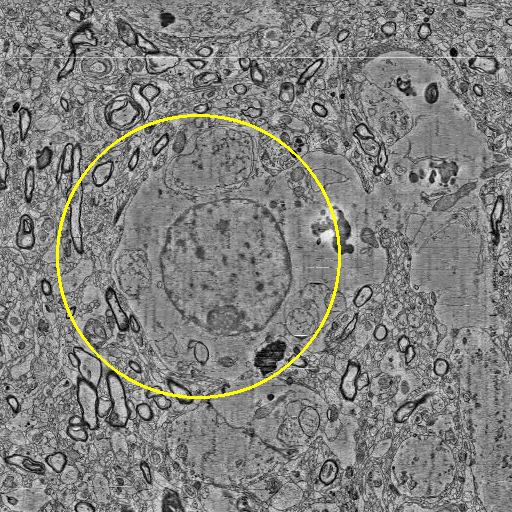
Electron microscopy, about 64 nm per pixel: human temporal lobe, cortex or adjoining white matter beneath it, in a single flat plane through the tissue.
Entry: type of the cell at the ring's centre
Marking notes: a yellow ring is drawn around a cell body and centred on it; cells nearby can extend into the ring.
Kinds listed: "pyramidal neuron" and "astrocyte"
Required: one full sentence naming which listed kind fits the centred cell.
My entry names an astrocyte as the cell whose body the yellow ring centres on.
